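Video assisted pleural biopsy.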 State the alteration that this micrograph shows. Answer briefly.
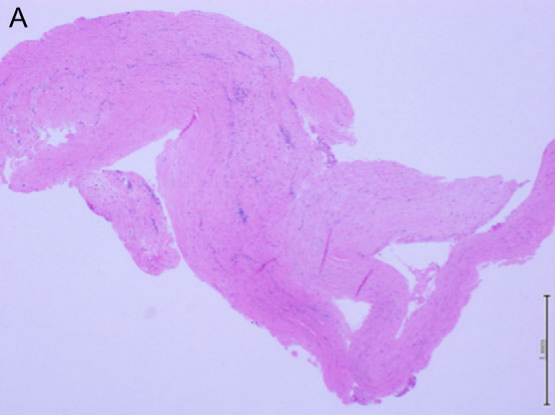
Diffuse organized fibrosis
